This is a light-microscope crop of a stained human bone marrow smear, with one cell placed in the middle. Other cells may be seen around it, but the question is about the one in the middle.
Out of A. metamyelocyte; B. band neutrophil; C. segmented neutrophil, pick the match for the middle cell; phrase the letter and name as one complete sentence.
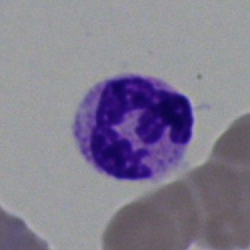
Option C is correct in naming the middle cell a segmented neutrophil.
